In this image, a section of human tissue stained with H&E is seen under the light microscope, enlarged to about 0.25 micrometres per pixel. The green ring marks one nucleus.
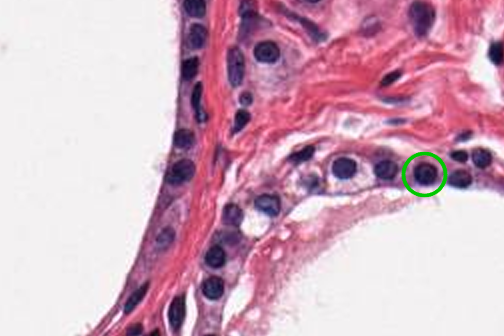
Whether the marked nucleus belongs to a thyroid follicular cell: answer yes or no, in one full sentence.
Yes, the marked nucleus belongs to a thyroid follicular cell in this field.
